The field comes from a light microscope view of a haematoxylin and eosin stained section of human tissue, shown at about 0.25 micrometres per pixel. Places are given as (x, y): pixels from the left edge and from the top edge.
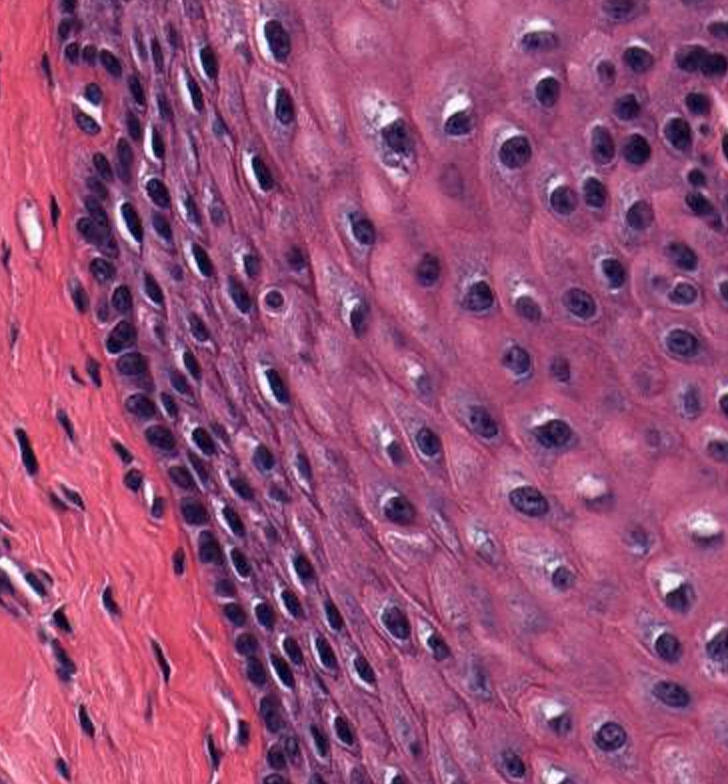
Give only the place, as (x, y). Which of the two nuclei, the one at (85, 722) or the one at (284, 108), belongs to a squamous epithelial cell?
(284, 108)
